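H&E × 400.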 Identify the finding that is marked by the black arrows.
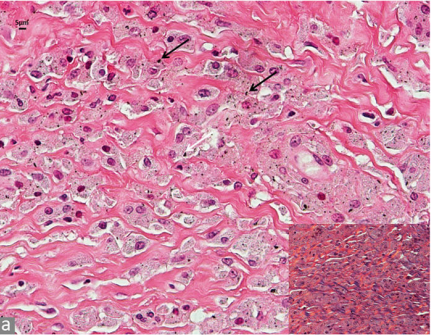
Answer: Conventional black metallic particulate debris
